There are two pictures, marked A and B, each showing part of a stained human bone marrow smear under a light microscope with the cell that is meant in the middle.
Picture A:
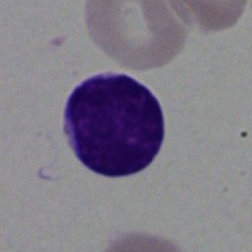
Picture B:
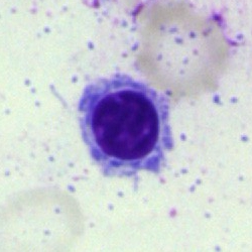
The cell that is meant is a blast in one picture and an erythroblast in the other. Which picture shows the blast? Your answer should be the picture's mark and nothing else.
A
